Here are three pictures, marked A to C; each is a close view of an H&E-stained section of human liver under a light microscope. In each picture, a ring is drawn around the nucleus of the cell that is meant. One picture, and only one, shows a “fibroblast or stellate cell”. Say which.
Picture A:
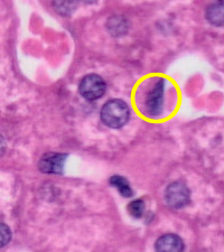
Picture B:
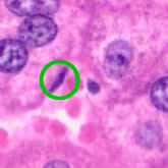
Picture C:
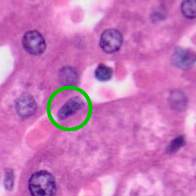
C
